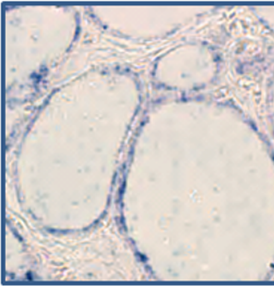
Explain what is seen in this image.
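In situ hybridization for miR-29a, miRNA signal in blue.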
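Normal thyroid tissue made of follicles lined by thyrocytes. Several rounded follicles of unequal size fill the field, their lumens occupied by pale, homogeneous colloid, in places with small scattered bubbles or flecks. Each follicle is rimmed by a single thin layer of flattened epithelial cells that carries a dark blue stain, so the follicle outlines stand out as blue rings. No cell sheets interrupt the follicular pattern.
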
